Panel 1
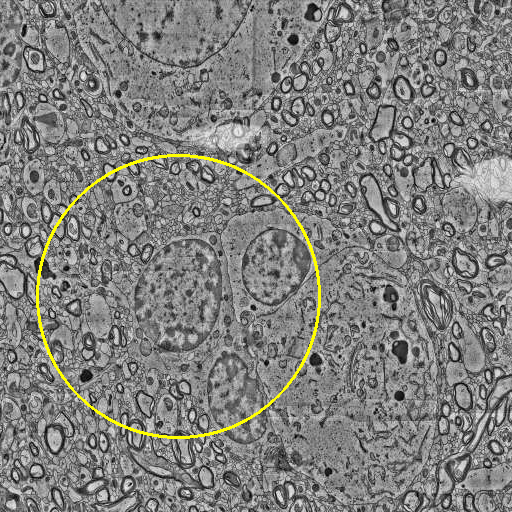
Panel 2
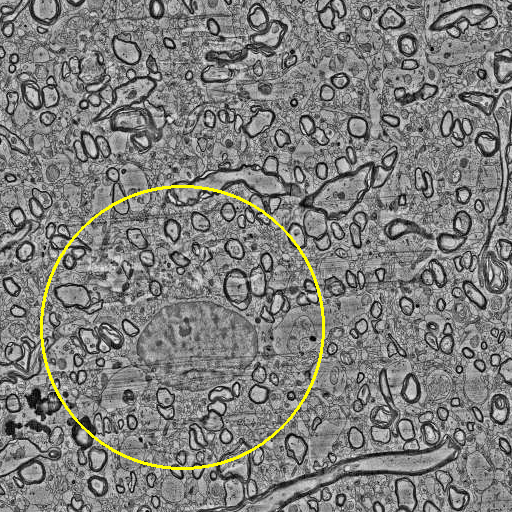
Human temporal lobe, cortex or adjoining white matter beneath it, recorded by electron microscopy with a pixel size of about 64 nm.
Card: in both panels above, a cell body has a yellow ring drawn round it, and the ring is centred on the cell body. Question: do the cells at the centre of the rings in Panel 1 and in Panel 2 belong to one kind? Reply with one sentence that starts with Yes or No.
Yes, the cells centred in the rings of Panel 1 and Panel 2 are one kind of cell.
